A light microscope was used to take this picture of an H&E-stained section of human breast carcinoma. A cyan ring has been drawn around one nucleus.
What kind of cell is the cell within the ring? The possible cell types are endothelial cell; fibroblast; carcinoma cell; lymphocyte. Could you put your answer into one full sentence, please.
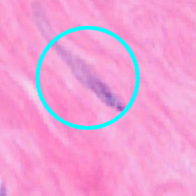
The cell type represented by the cell within the ring is that of a fibroblast.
